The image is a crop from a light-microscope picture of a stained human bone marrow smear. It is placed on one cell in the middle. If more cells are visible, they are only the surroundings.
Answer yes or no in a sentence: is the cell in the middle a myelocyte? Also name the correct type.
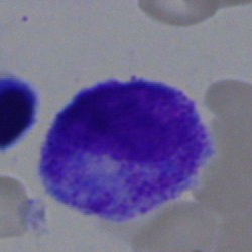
Yes, the cell that lies centrally is a myelocyte.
